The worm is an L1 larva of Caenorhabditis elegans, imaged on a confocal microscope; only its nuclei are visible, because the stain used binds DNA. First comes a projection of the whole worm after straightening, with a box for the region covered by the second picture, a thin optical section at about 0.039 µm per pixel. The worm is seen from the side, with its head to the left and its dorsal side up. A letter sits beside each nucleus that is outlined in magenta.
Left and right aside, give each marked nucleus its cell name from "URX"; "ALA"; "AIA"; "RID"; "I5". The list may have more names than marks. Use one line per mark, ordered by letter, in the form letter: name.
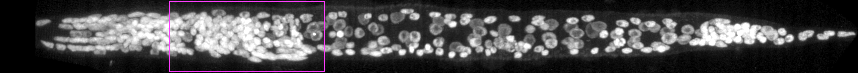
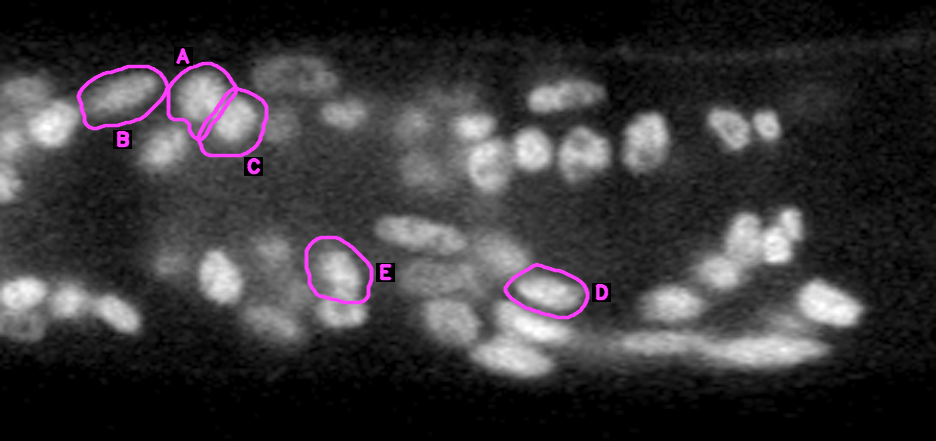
A: ALA
B: RID
C: URX
D: I5
E: AIA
